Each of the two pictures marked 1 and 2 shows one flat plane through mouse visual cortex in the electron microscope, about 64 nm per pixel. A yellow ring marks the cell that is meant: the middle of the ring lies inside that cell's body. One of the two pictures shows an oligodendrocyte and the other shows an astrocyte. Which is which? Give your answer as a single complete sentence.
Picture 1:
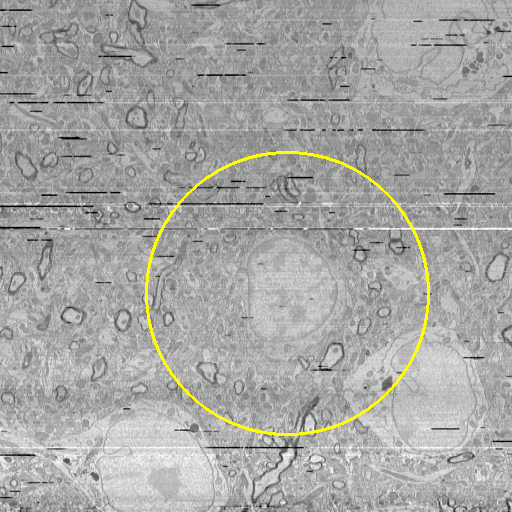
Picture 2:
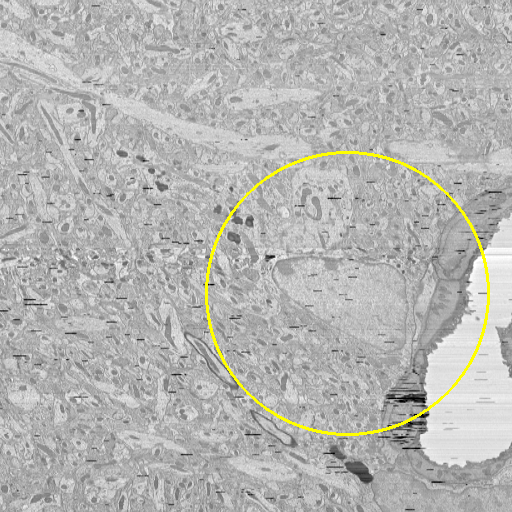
Picture 1 is of an oligodendrocyte, and picture 2 is of an astrocyte.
